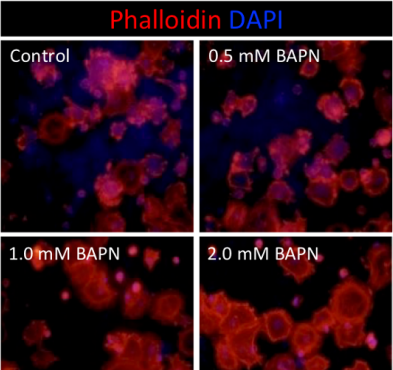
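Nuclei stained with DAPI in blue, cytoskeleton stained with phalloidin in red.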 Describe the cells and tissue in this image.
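Cells are scattered singly and in small clusters, and most are rounded or polygonal rather than elongated. In several fields the larger cells are flattened and spread, with a bright red rim of filaments at the cell margin and paler red centres.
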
